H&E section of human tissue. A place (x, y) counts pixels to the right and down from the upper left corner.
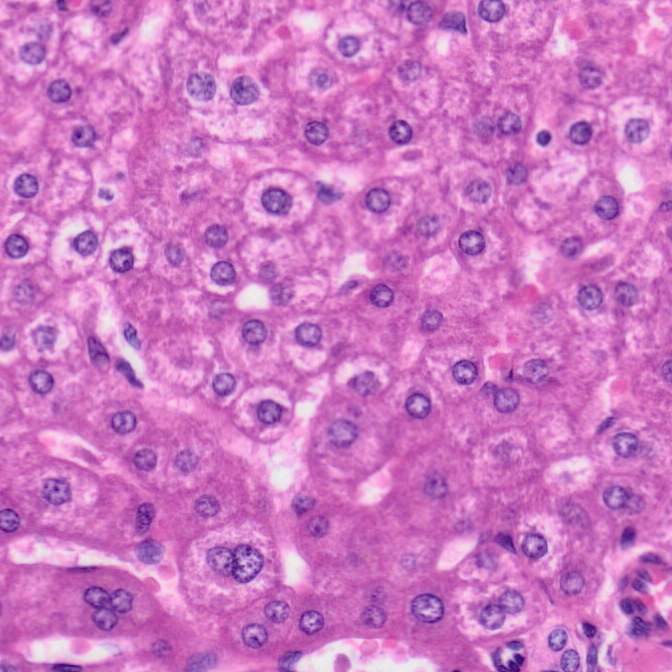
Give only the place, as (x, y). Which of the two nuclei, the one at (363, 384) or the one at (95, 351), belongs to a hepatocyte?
(363, 384)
